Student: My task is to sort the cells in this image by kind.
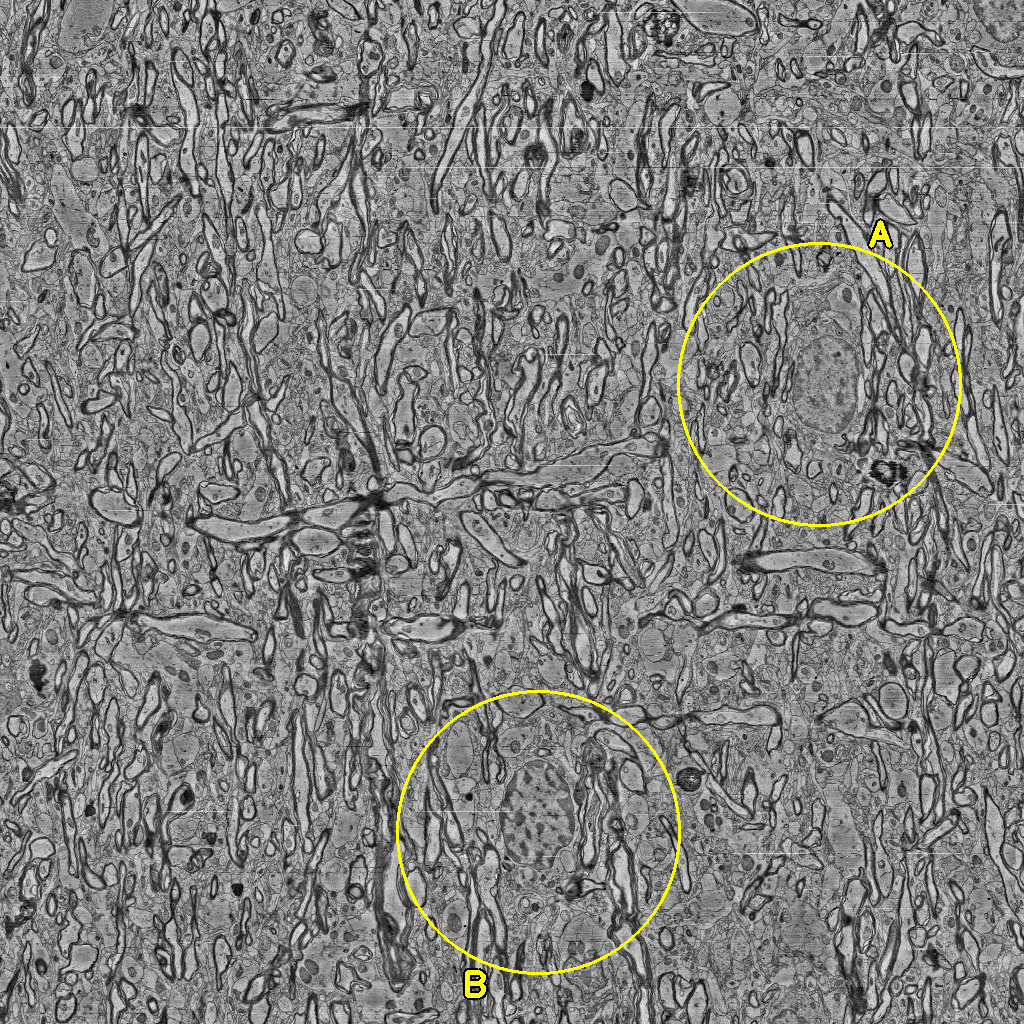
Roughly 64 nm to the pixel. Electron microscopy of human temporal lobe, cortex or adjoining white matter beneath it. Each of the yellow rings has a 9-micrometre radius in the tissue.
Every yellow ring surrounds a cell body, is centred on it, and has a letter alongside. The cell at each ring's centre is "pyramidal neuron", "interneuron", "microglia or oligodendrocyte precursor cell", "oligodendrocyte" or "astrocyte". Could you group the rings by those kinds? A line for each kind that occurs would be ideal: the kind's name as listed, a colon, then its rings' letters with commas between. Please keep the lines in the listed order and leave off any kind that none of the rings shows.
microglia or oligodendrocyte precursor cell: B
oligodendrocyte: A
